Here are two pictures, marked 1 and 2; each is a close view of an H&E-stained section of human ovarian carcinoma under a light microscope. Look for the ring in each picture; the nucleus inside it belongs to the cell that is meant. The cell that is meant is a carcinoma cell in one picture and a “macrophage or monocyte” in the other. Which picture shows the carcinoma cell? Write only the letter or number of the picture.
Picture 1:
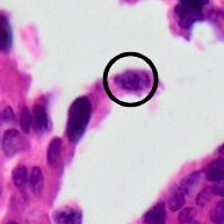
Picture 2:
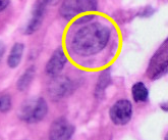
2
